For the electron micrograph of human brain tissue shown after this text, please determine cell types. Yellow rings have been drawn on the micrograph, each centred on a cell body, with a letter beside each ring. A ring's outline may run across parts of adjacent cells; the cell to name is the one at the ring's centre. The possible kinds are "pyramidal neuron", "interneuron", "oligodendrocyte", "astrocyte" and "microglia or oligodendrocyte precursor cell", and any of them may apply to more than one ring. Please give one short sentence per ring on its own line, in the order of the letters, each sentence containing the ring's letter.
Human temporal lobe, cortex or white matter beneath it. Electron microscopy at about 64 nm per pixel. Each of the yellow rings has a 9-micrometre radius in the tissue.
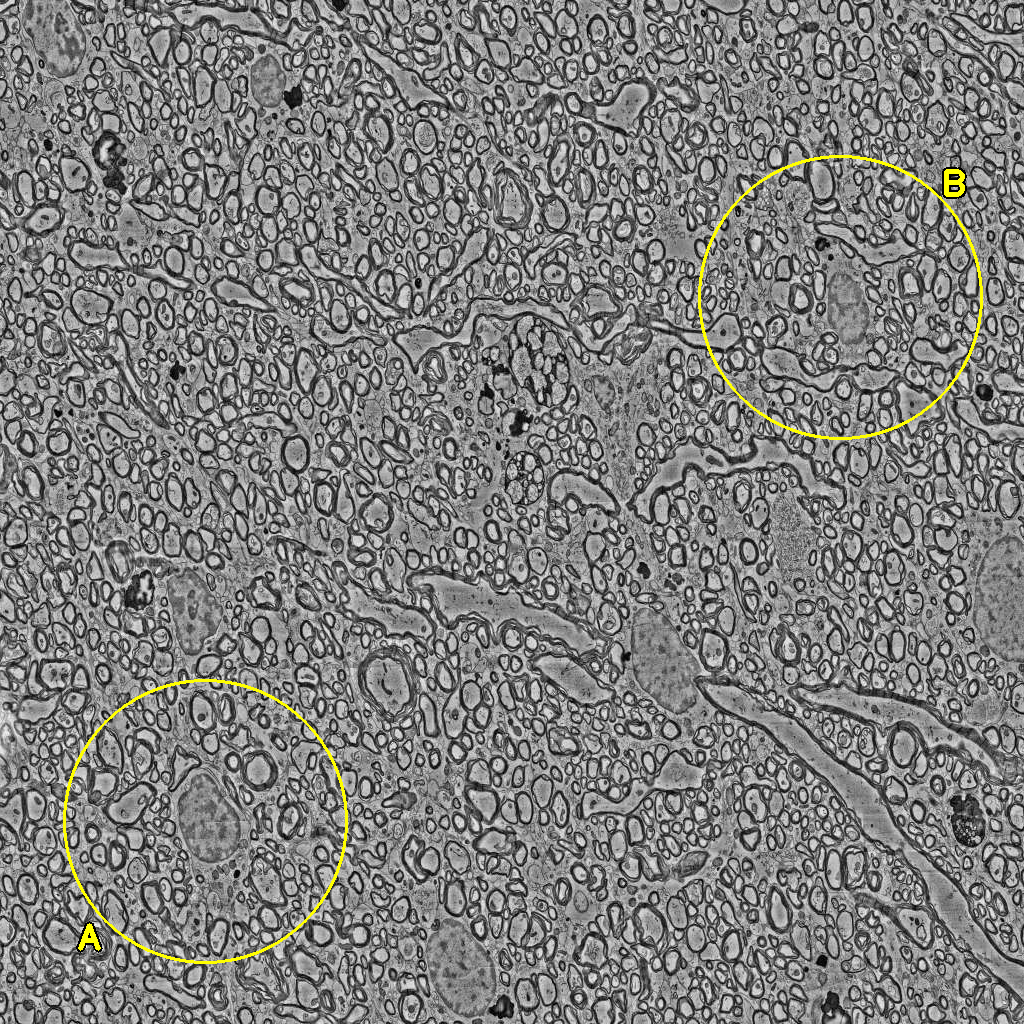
Ring A is set around an oligodendrocyte.
Ring B is set around an oligodendrocyte.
